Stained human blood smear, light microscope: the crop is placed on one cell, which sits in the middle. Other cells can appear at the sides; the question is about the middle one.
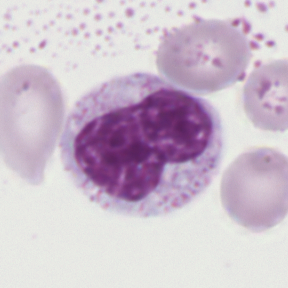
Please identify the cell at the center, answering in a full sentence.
Looking at the middle of the crop, the cell there is a metamyelocyte.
